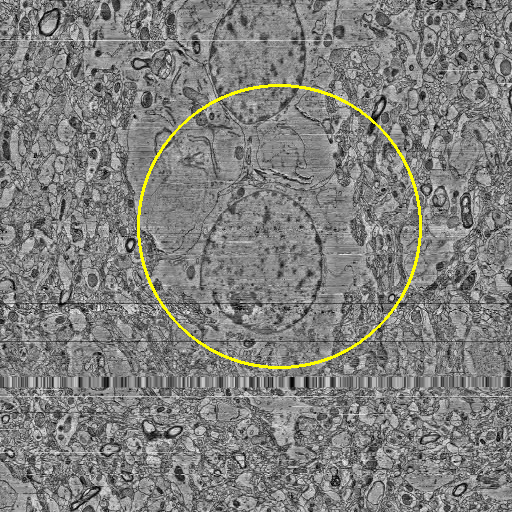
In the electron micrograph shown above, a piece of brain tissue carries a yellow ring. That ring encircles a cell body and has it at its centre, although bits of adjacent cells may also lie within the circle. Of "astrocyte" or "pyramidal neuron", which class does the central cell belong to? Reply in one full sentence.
The cell body at the centre of the yellow ring belongs to an astrocyte.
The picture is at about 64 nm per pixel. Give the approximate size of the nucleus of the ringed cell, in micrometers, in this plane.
Approximately 9 by 8 micrometers in this plane.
